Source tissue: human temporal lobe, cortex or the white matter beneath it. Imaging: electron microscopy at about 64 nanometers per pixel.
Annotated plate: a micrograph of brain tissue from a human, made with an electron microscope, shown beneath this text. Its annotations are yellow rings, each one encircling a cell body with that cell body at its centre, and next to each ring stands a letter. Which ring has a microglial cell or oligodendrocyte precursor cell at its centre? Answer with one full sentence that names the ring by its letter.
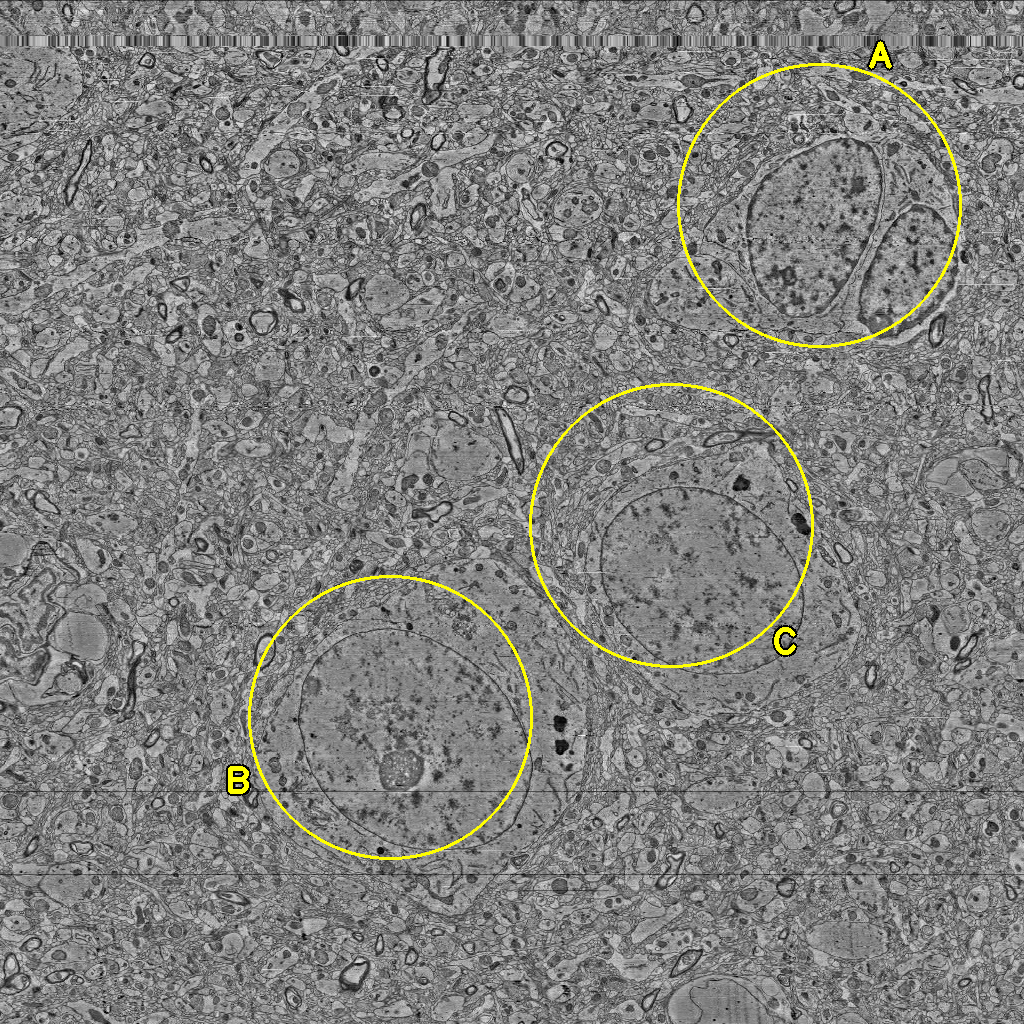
In the plate, ring A is the one centred on a cell of that kind.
